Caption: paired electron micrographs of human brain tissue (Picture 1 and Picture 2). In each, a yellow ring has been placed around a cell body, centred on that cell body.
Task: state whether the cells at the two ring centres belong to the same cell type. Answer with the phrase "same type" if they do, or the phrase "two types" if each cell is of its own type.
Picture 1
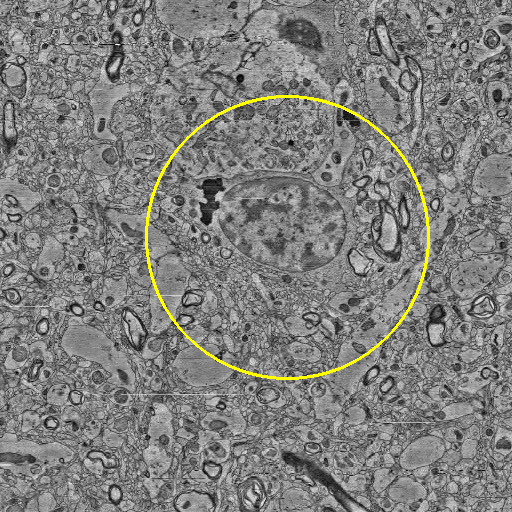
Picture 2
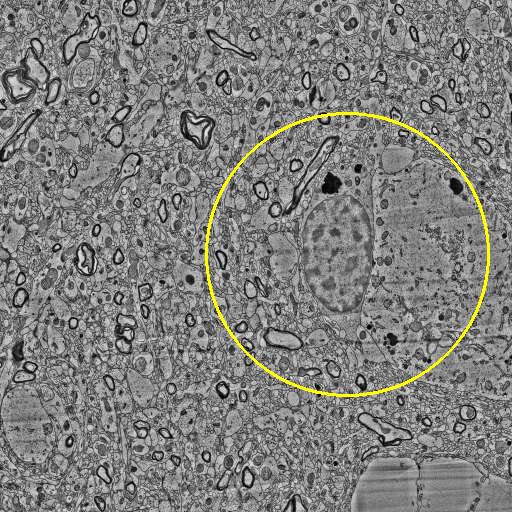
same type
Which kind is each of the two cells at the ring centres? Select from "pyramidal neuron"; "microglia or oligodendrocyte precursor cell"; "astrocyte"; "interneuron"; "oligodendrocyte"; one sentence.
In each picture the ringed cell is an oligodendrocyte.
